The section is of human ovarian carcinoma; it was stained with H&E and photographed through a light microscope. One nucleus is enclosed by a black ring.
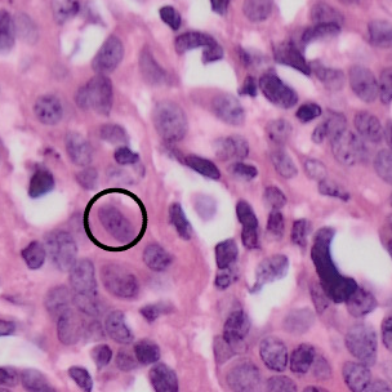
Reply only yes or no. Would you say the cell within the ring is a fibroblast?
no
